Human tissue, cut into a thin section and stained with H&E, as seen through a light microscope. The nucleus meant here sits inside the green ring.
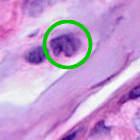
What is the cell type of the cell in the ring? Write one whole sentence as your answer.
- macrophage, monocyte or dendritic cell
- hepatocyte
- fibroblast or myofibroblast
Just put down that the cell in the ring is a macrophage, monocyte or dendritic cell.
